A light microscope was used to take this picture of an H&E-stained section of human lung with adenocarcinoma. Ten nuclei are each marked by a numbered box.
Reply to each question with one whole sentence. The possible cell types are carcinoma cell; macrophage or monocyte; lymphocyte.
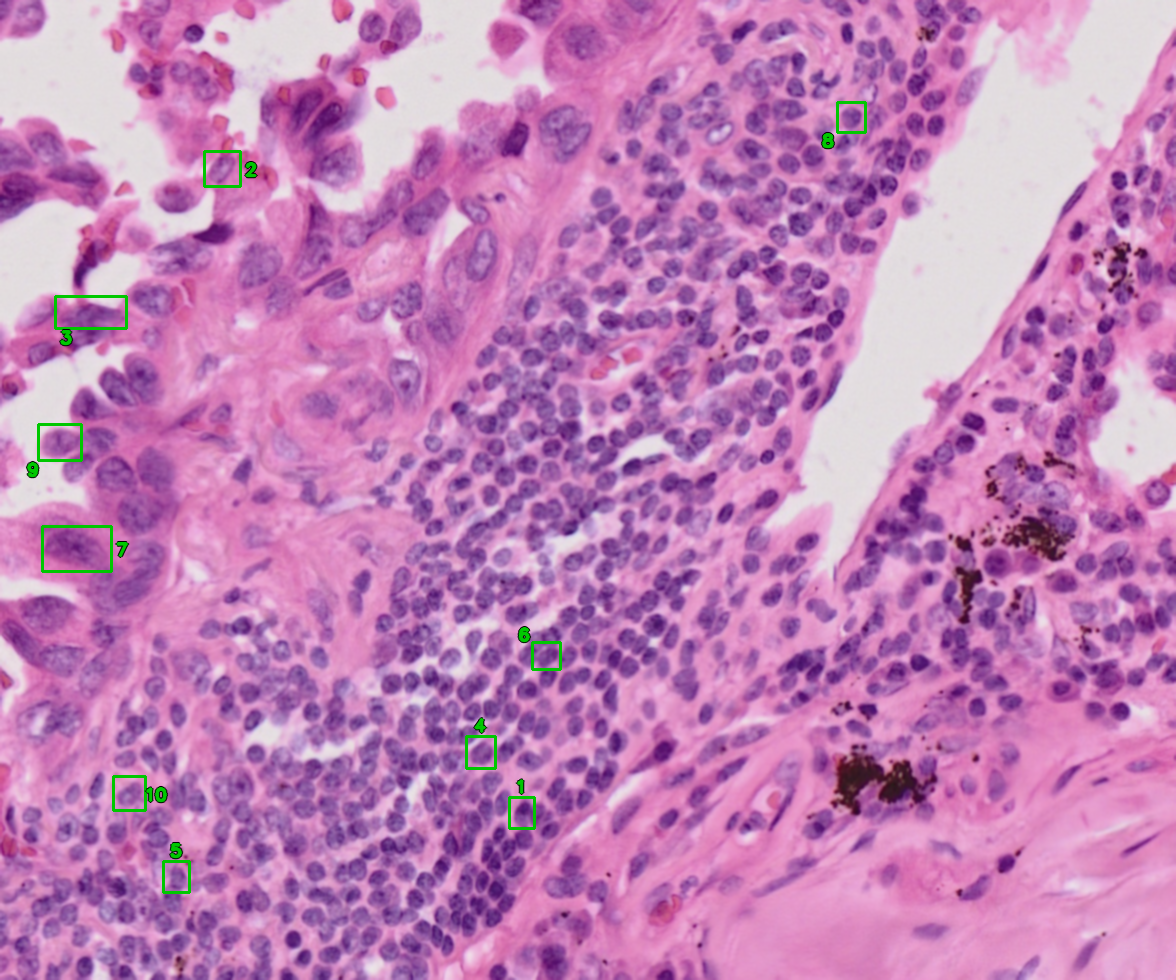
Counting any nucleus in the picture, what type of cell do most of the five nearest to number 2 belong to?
Carcinoma cells make up most of the five nuclei closest to number 2.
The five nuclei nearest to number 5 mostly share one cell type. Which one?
Most of the five nuclei nearest to number 5 are those of lymphocytes.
